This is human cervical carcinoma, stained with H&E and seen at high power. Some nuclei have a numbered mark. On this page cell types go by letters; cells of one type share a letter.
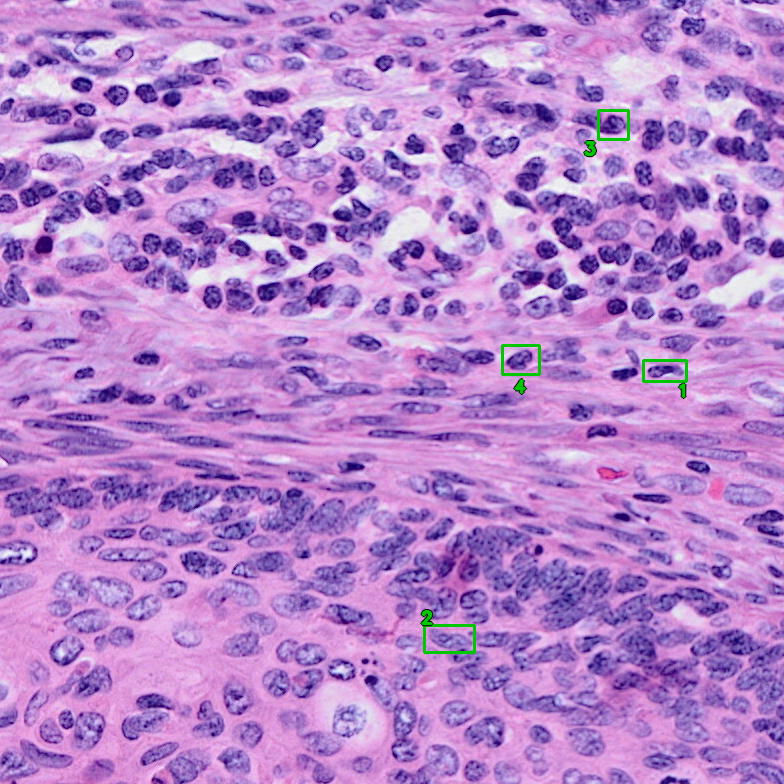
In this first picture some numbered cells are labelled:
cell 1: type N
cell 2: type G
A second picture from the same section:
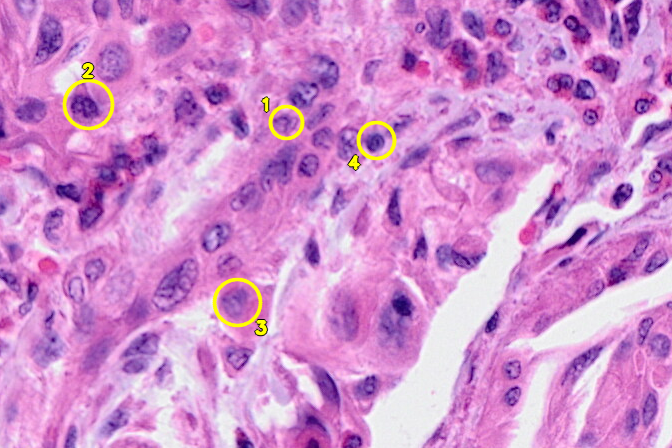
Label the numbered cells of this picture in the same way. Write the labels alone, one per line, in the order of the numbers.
type G
type G
type G
type N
